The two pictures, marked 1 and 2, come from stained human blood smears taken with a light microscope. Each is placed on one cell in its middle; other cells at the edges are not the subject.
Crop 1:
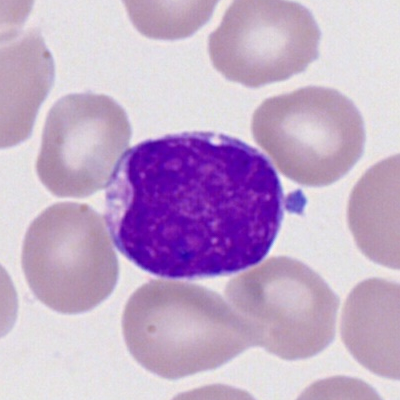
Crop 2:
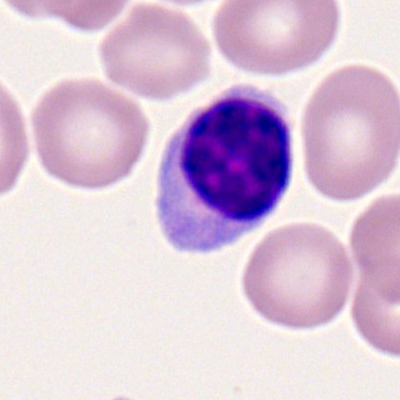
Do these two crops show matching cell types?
no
